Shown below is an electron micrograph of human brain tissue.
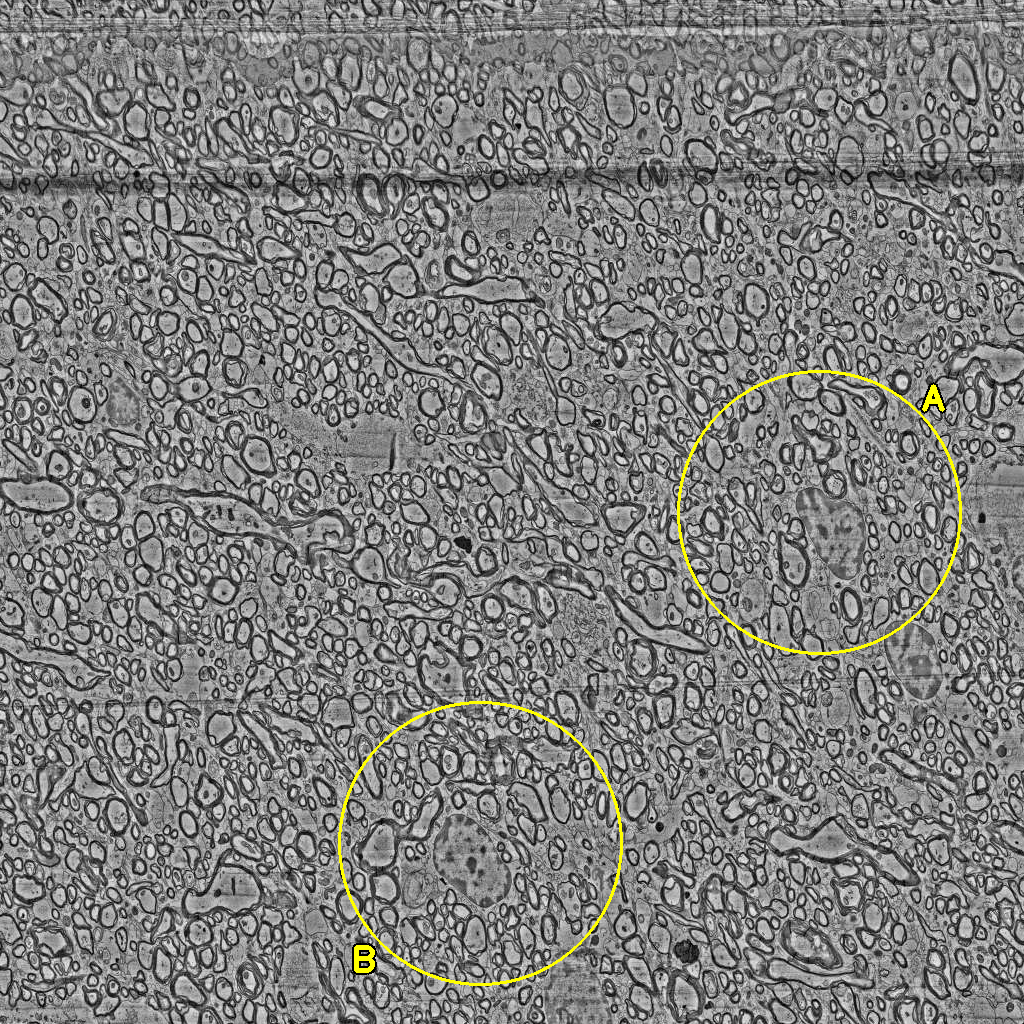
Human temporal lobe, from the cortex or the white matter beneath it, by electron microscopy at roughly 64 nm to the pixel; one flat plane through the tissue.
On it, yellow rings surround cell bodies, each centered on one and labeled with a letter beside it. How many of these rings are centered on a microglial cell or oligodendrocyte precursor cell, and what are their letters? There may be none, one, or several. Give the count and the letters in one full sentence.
The rings labelled A and B come to two, with a microglial cell or oligodendrocyte precursor cell at the centre of every one of them.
